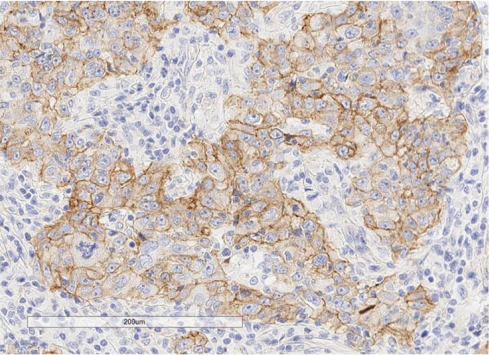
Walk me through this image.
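Large, irregular nests of tumour cells are separated by stroma containing many small cells with dark round nuclei. The tumour cells are large, with vesicular nuclei, prominent nucleoli and ample cytoplasm. Brown stain outlines the borders of most tumour cells and tints their cytoplasm lightly. The small stromal cells are unstained.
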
